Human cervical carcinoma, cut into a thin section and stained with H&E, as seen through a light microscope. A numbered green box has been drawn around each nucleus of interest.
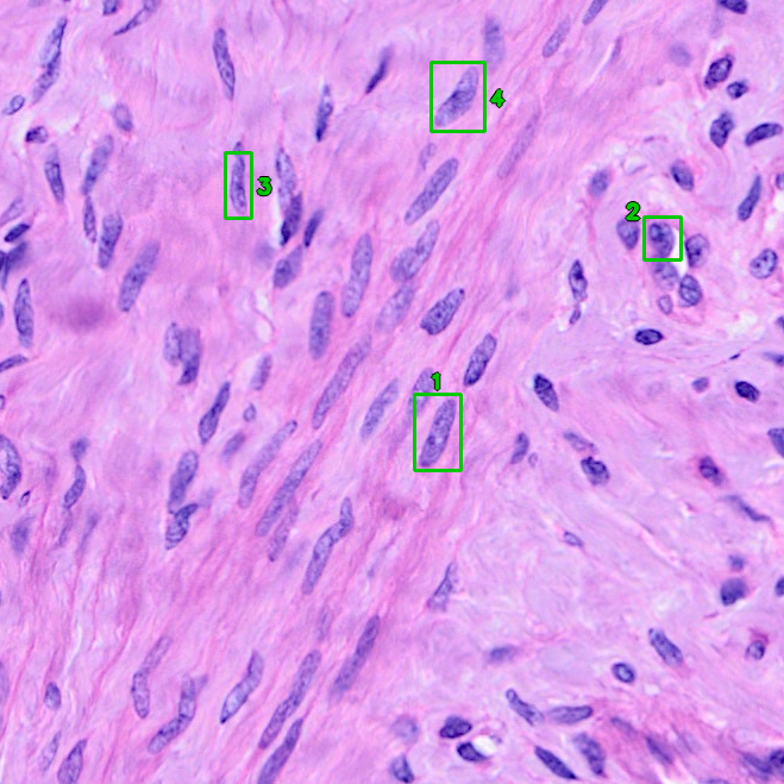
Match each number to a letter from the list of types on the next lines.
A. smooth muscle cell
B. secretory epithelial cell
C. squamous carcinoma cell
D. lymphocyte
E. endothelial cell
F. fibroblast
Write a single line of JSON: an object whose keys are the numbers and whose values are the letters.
{"1": "A", "2": "E", "3": "F", "4": "F"}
